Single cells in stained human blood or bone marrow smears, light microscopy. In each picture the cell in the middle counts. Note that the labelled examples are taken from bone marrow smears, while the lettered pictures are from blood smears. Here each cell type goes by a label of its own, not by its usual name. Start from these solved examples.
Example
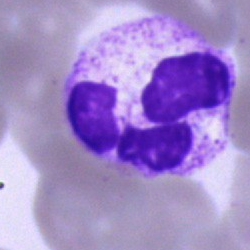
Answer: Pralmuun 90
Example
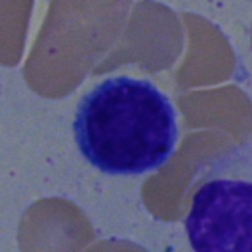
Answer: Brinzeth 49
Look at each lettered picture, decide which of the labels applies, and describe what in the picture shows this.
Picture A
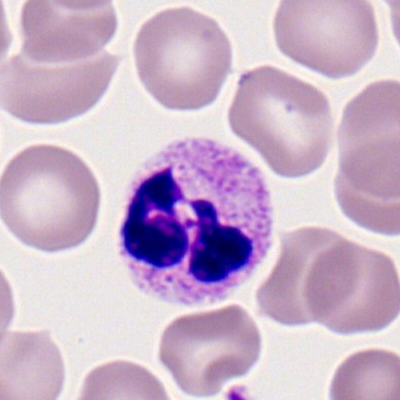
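Answer: Pralmuun 90. The nucleus is split into two large lobes lying side by side.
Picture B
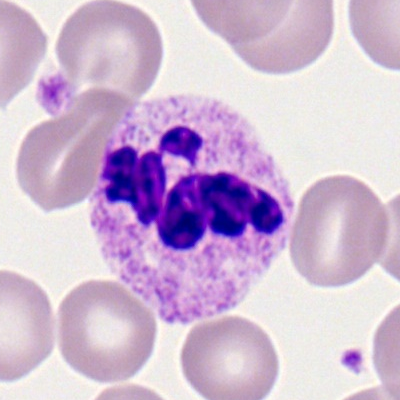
Answer: Pralmuun 90. The cytoplasm is abundant and pale pinkish-lilac.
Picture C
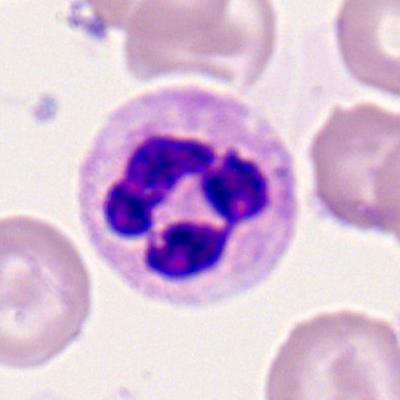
Answer: Pralmuun 90. The nucleus is split into separate lobes arranged in a ring around a pale centre.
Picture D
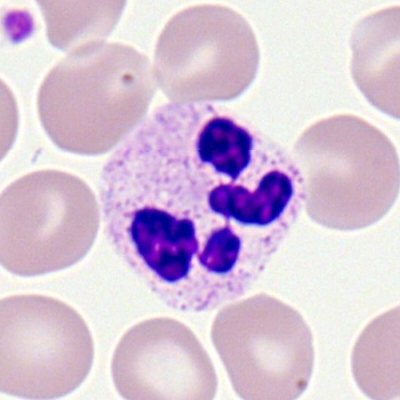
Answer: Pralmuun 90. The cytoplasm is abundant and pale pinkish-lilac.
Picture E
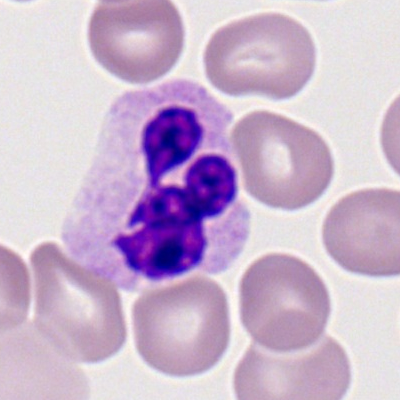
Answer: Pralmuun 90. The cytoplasm is plentiful and pale pinkish-lilac.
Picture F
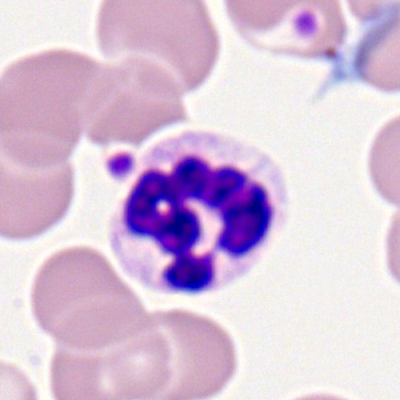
Answer: Pralmuun 90. The cytoplasm is plentiful and pale pinkish-lilac.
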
